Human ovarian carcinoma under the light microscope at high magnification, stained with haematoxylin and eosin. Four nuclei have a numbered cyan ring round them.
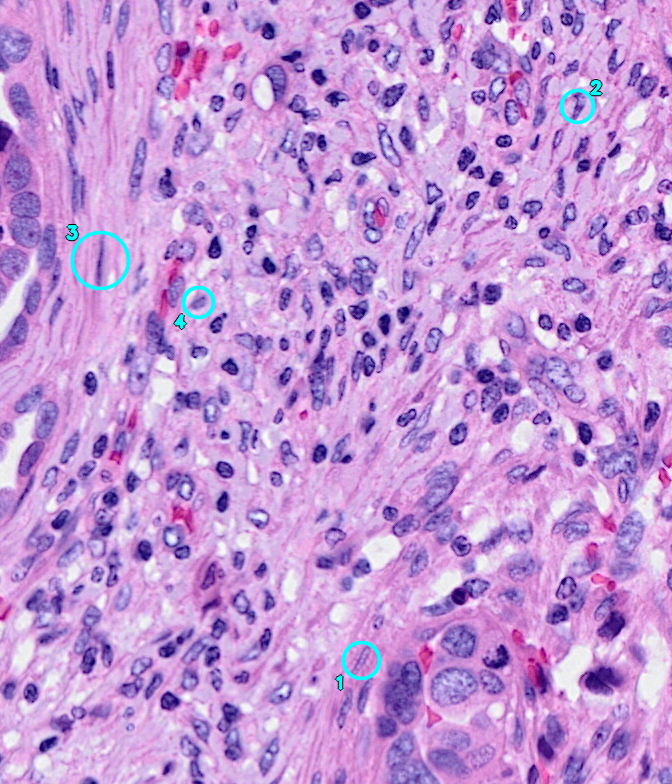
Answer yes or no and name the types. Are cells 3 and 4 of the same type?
No, here cell 3 is a fibroblast, whereas cell 4 is a lymphocyte.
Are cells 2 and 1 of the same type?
Yes, cells 2 and 1 are both counted as fibroblasts.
